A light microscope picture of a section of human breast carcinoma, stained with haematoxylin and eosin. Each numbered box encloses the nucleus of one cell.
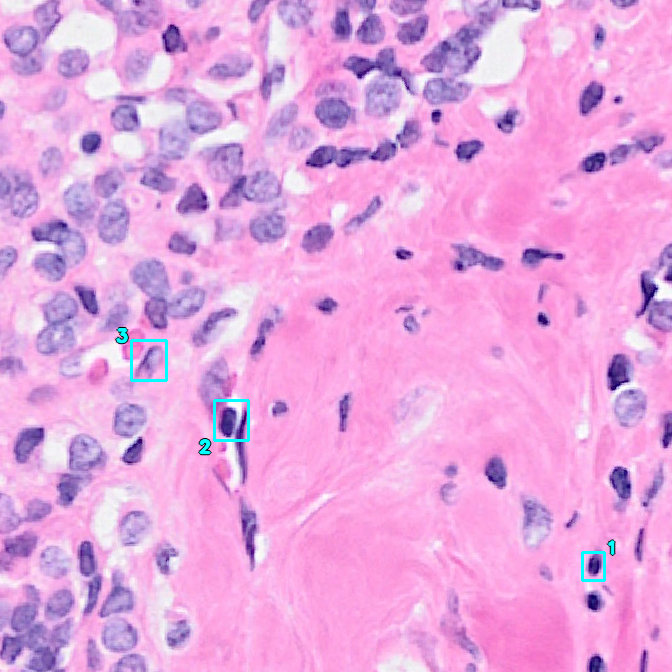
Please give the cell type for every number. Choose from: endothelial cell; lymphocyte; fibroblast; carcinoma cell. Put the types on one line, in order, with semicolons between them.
lymphocyte; endothelial cell; endothelial cell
